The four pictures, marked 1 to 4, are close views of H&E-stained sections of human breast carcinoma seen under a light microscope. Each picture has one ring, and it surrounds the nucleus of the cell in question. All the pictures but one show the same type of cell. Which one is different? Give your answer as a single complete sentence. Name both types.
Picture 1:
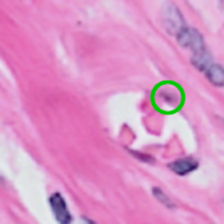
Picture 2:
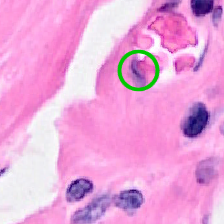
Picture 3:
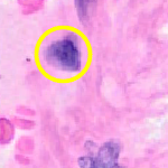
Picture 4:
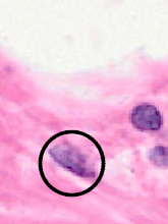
Unlike the rest, which show endothelial cells, picture 4 shows a fibroblast.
